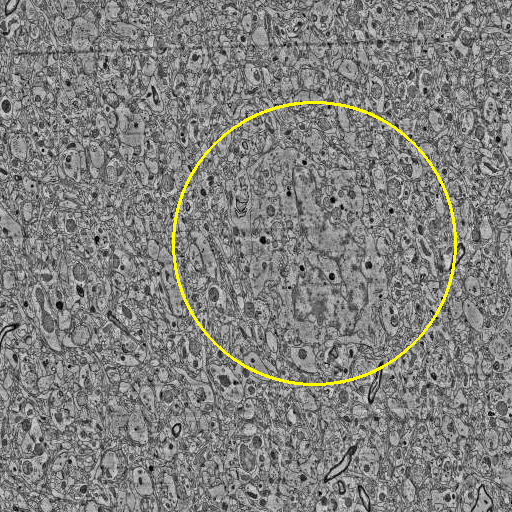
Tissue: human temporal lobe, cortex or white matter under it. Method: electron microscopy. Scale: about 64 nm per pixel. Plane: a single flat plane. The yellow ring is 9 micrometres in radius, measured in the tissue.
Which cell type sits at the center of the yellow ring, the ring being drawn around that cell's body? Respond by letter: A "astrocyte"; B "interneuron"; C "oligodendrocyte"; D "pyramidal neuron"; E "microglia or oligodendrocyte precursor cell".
B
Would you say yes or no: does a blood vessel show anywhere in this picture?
No, there is no blood vessel in the image.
